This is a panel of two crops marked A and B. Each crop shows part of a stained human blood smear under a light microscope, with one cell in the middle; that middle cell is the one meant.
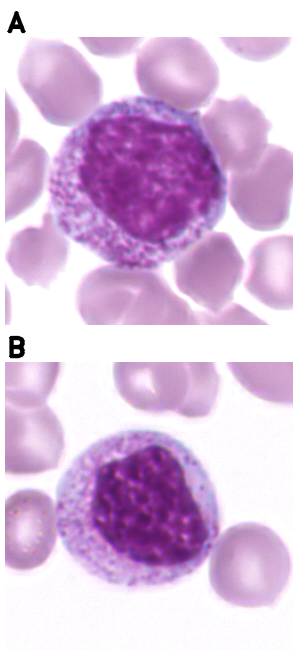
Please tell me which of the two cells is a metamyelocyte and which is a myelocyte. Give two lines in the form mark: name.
A: myelocyte
B: metamyelocyte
